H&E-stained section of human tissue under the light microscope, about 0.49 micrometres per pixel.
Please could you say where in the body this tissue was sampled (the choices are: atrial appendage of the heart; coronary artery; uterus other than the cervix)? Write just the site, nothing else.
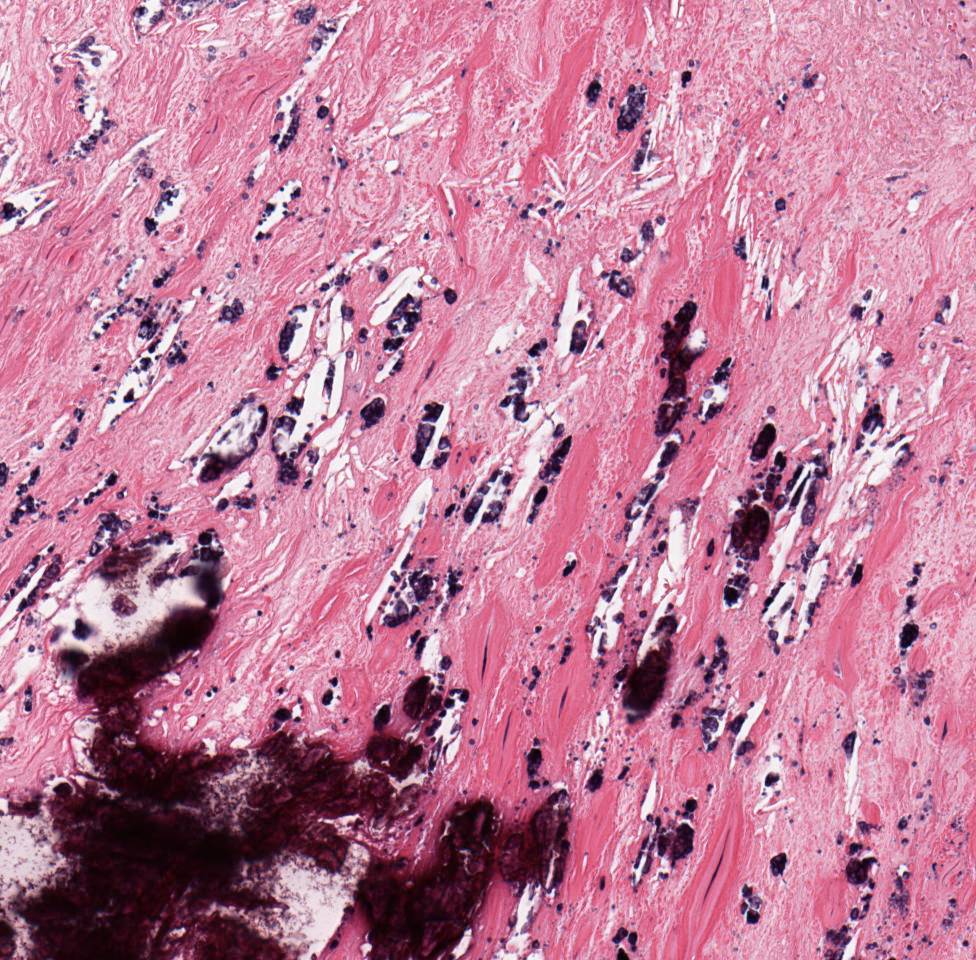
coronary artery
